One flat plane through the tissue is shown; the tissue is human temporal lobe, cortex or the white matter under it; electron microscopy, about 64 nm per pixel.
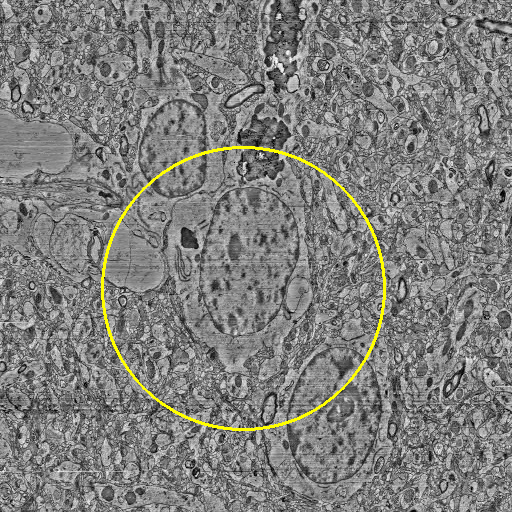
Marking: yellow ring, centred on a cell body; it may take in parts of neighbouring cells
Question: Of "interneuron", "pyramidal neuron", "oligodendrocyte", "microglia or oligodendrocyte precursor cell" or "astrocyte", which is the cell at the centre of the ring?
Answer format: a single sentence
The ring surrounds the body of an astrocyte.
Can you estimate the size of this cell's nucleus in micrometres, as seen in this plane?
The nucleus comes to approximately 10 by 6 micrometres and is clearly longer than it is wide in this plane.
